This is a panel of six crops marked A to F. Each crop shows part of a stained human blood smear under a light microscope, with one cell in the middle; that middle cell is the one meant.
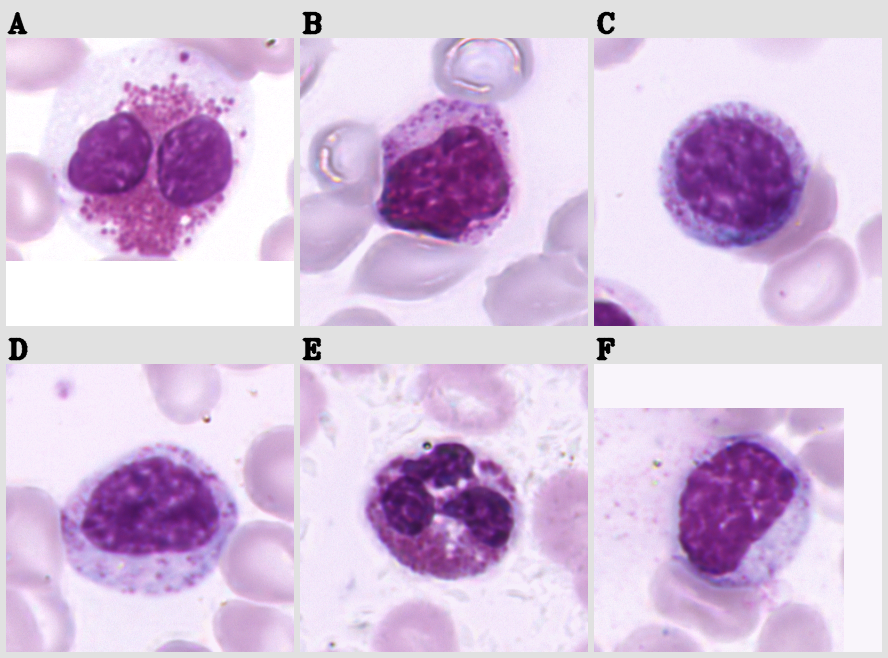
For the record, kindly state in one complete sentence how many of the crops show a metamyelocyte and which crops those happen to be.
Crops C, D and F, three in total, show metamyelocytes.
